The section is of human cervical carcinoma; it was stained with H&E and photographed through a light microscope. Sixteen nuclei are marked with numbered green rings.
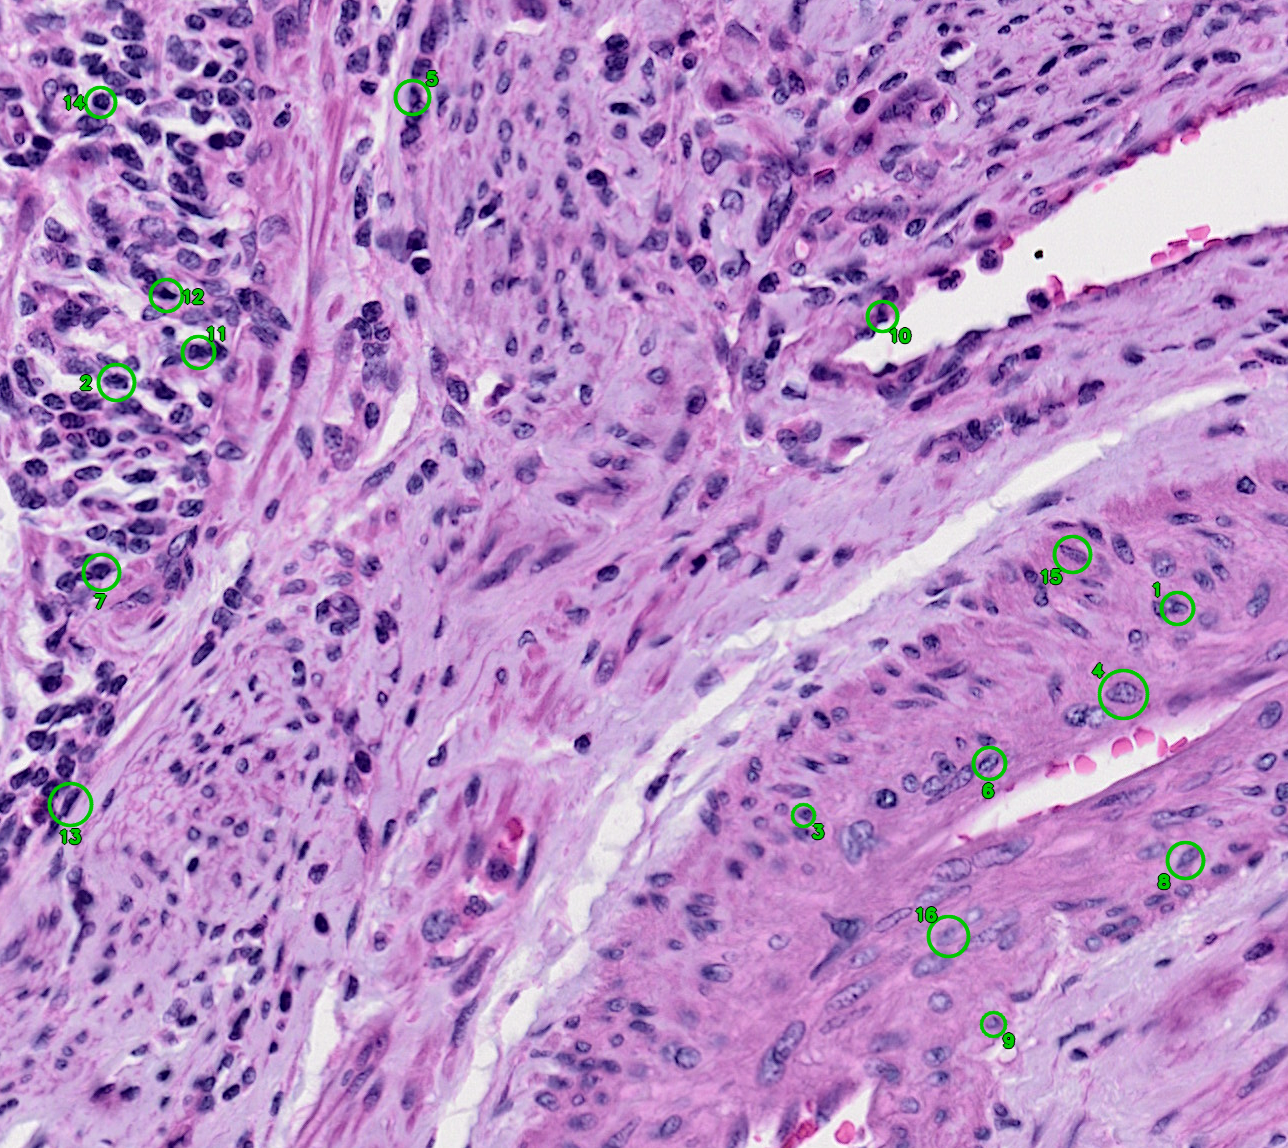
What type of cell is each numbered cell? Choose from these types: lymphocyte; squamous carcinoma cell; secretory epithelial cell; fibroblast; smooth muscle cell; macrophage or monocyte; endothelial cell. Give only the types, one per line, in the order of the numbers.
smooth muscle cell
lymphocyte
smooth muscle cell
smooth muscle cell
lymphocyte
smooth muscle cell
lymphocyte
smooth muscle cell
smooth muscle cell
endothelial cell
lymphocyte
lymphocyte
lymphocyte
lymphocyte
smooth muscle cell
smooth muscle cell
